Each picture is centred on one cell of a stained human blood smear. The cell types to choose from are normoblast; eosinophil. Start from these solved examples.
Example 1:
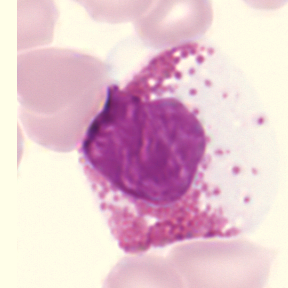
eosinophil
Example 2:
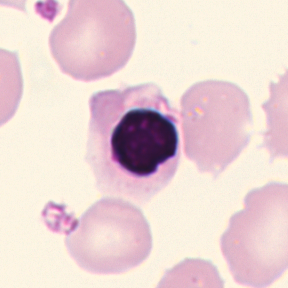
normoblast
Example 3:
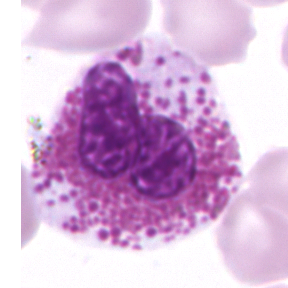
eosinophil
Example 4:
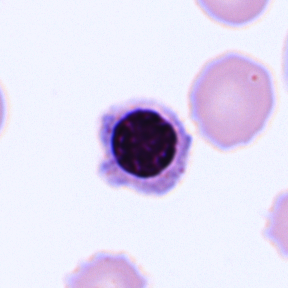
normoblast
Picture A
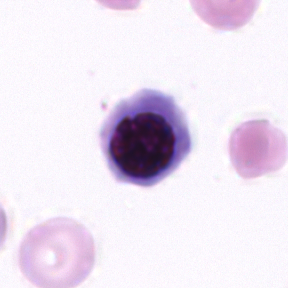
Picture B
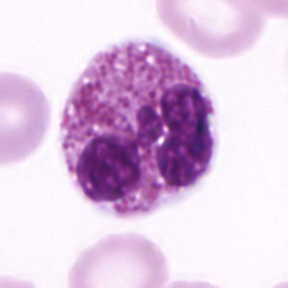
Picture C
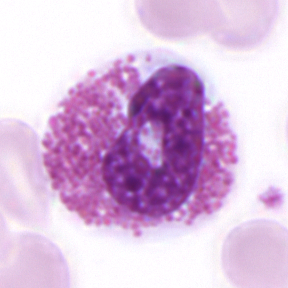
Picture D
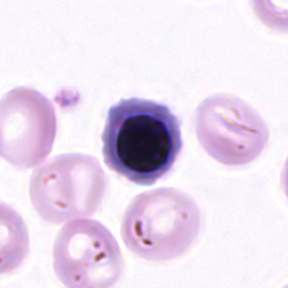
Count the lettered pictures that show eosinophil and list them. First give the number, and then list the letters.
Count: 2 (B, C)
